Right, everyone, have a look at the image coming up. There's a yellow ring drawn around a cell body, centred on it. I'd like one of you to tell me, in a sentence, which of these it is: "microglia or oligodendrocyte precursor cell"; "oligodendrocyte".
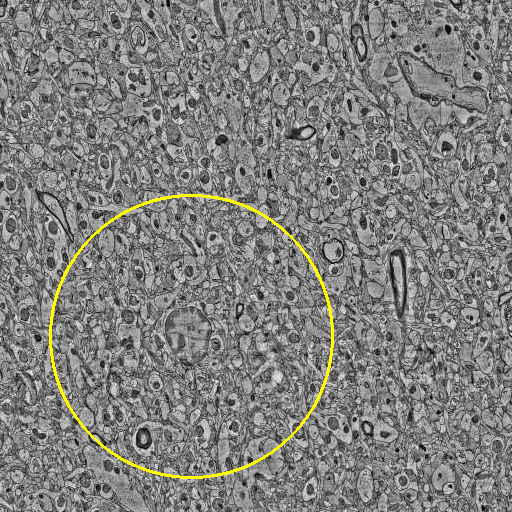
The yellow ring sits on a microglial cell or oligodendrocyte precursor cell.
